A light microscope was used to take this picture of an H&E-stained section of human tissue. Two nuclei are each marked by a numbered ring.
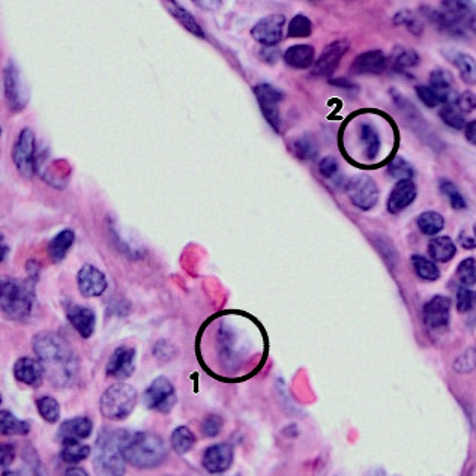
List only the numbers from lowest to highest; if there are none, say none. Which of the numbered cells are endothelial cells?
1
